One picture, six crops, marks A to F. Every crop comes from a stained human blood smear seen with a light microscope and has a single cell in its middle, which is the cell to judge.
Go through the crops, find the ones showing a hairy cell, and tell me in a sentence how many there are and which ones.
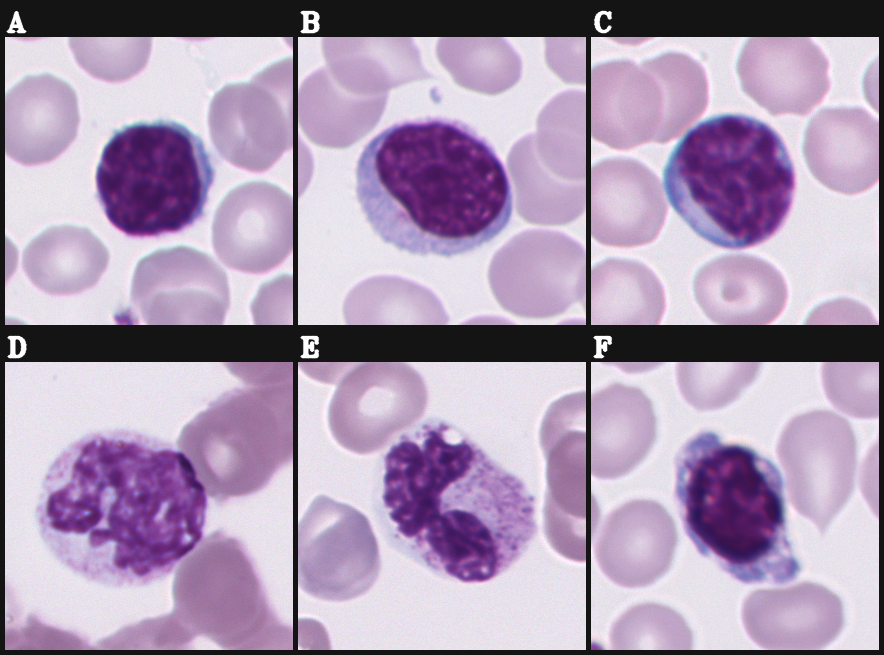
Not one crop shows hairy cells; the count is therefore zero.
